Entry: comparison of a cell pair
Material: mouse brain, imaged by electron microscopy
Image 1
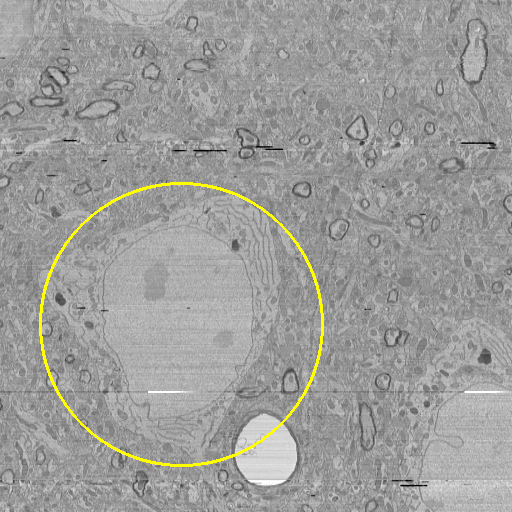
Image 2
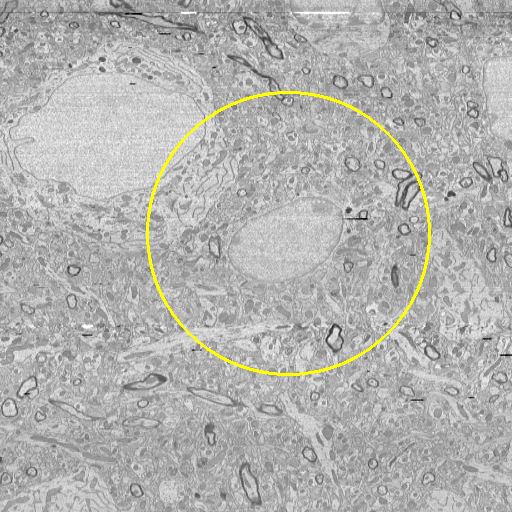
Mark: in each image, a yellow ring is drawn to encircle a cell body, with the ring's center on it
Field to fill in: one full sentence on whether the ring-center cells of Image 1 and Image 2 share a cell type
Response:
No, Image 1 and Image 2 show ring-center cells of two separate types.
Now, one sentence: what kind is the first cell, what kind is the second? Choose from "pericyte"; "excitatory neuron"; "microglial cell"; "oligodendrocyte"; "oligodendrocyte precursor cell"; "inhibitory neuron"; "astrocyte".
The first picture has an excitatory neuron at its ring centre, and the second has an astrocyte.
